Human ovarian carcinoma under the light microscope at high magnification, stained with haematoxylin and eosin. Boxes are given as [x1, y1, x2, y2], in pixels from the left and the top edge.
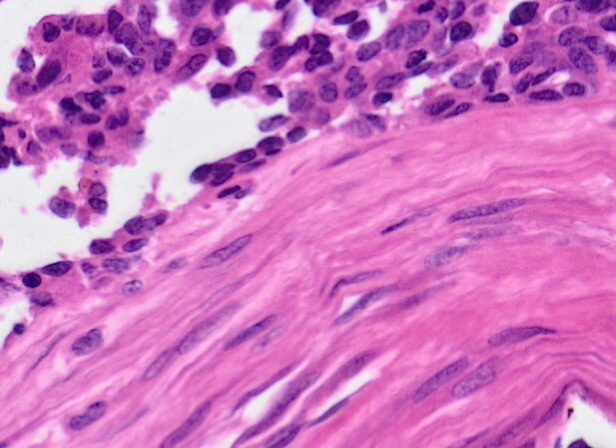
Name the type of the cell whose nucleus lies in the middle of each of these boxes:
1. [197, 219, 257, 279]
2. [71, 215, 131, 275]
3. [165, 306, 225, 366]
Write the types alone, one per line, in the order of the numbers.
fibroblast
carcinoma cell
fibroblast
